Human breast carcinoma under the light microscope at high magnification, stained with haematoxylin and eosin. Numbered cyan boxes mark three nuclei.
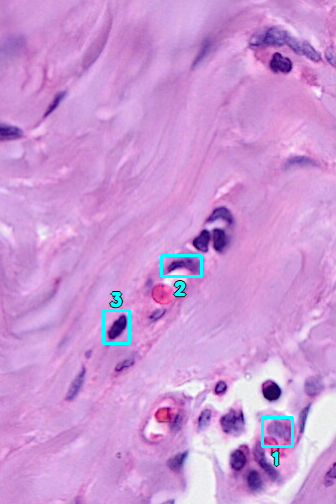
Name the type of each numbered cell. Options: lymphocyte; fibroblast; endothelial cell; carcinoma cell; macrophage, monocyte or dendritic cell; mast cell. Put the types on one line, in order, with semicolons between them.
endothelial cell; endothelial cell; lymphocyte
